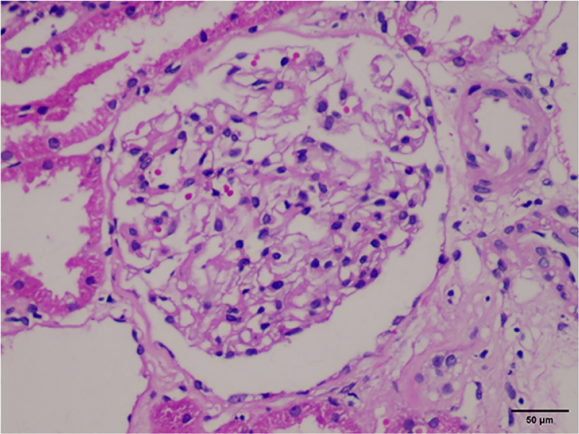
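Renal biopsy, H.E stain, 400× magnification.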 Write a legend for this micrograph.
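Kidney cortex with a glomerulus at the center, surrounded by tubules. The glomerular tuft is made of open capillary loops with scattered small dark nuclei and a few red blood cells in the lumina. A clear Bowman's space separates the tuft from a thin capsule, with no crescent or scarred segment to be seen. The surrounding tubules are lined by cells with pink granular cytoplasm and round nuclei, and their lumina hold no casts. A small vessel with a thick pink wall lies at the upper right.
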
